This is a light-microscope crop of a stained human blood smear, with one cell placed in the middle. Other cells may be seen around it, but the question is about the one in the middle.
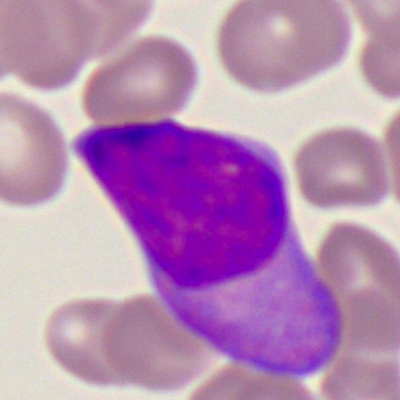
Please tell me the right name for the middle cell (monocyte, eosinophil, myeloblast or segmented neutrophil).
myeloblast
